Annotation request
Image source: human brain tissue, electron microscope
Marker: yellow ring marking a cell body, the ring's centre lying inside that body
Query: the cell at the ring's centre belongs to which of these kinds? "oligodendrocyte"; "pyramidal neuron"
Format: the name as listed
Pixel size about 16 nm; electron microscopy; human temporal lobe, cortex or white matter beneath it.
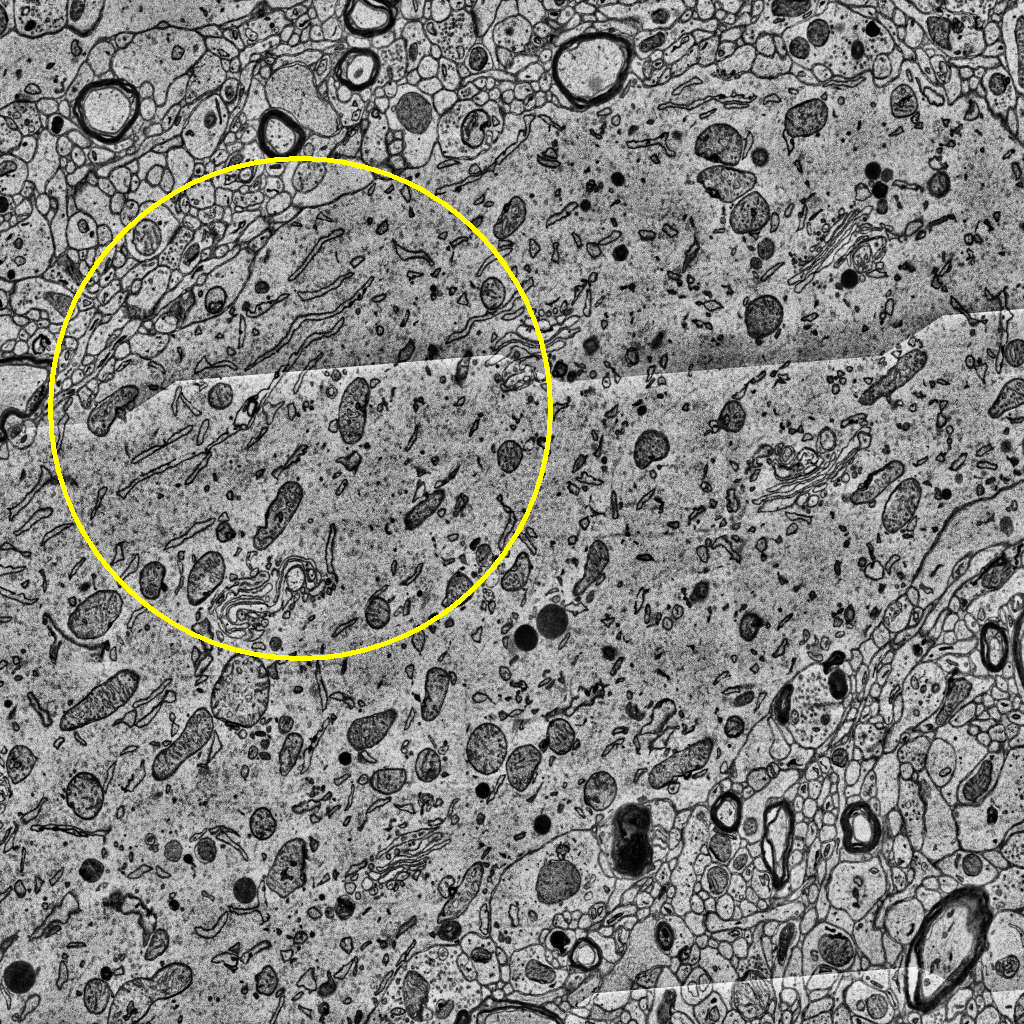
pyramidal neuron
